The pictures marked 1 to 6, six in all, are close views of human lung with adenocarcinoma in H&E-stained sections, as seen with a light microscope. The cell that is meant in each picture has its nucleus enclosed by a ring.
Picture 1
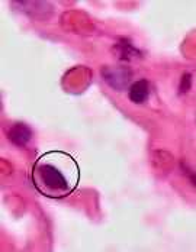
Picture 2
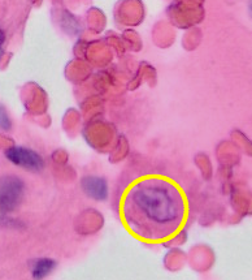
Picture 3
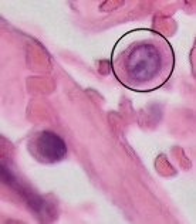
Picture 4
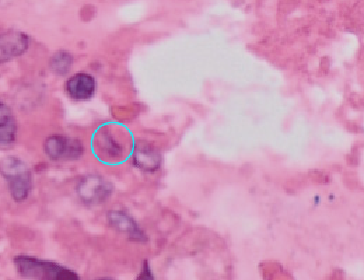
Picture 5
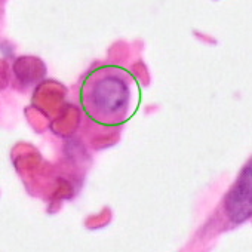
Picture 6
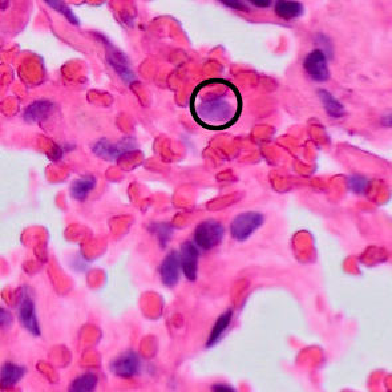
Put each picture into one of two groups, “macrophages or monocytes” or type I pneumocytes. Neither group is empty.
1: type I pneumocyte
2: macrophage or monocyte
3: macrophage or monocyte
4: macrophage or monocyte
5: macrophage or monocyte
6: type I pneumocyte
